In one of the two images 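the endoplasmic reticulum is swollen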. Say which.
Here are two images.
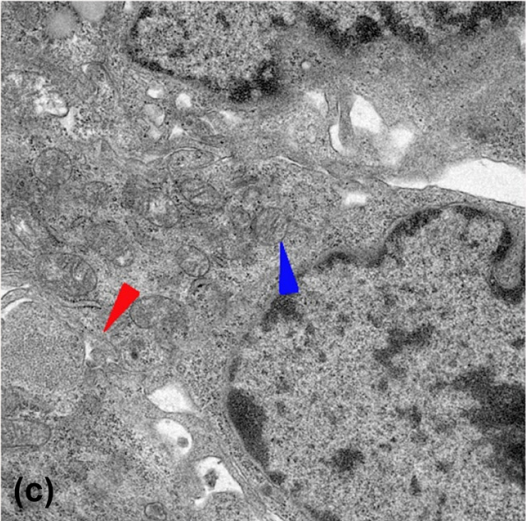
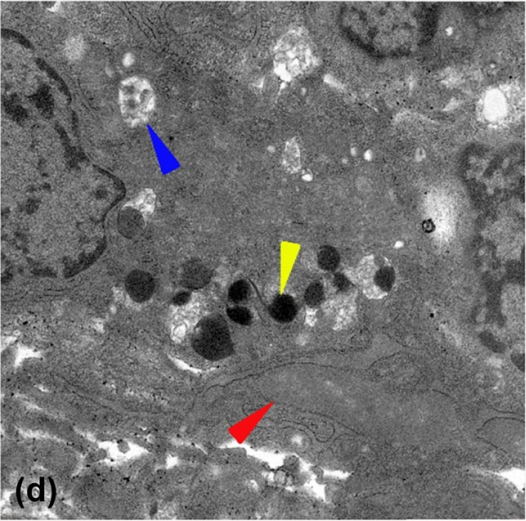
the second image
